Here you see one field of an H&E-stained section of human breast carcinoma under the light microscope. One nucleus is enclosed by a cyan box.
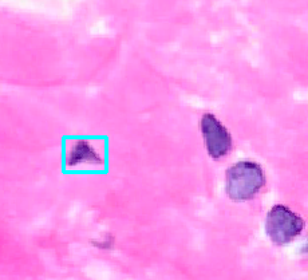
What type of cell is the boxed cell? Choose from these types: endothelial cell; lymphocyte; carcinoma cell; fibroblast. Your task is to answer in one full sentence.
By its classification, the boxed cell is a fibroblast.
